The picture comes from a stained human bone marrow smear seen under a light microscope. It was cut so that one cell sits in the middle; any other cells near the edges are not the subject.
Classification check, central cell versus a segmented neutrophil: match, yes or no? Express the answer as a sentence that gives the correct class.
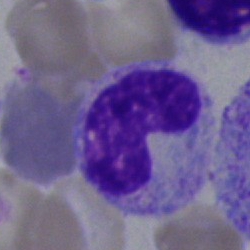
No, what is seen at the centre is a band neutrophil instead of a segmented neutrophil.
